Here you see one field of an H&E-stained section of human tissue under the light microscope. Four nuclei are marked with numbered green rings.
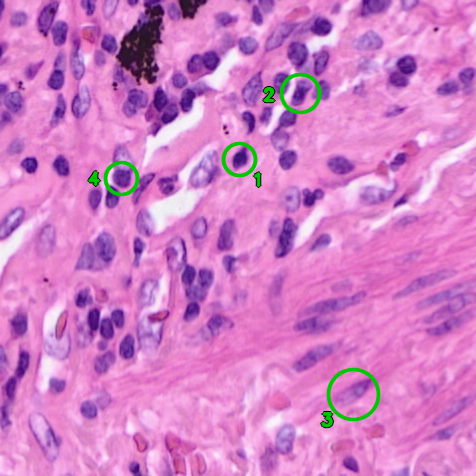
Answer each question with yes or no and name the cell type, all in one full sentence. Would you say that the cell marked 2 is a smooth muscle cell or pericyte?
No, the cell given number 2 is a lymphocyte, not a smooth muscle cell or pericyte.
